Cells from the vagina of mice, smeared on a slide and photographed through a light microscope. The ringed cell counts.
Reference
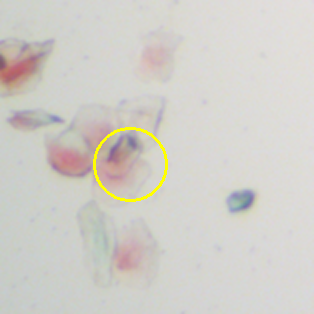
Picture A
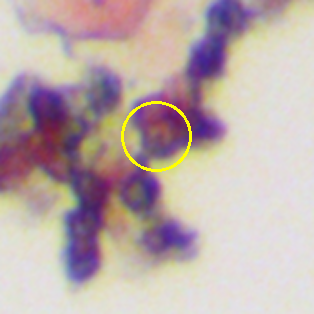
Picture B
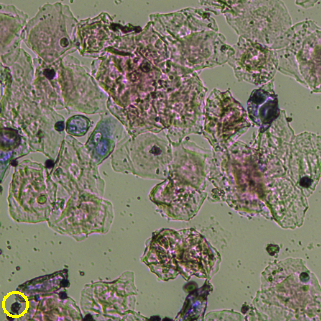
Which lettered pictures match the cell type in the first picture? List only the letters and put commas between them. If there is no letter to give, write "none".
none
